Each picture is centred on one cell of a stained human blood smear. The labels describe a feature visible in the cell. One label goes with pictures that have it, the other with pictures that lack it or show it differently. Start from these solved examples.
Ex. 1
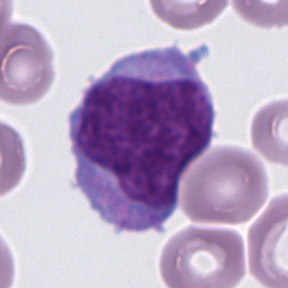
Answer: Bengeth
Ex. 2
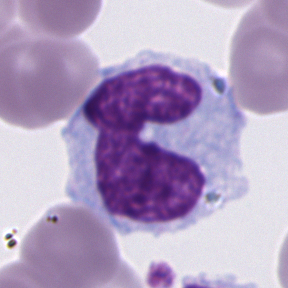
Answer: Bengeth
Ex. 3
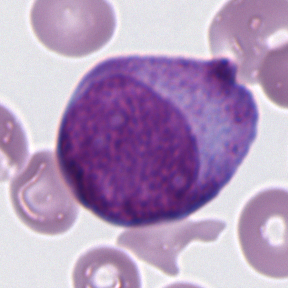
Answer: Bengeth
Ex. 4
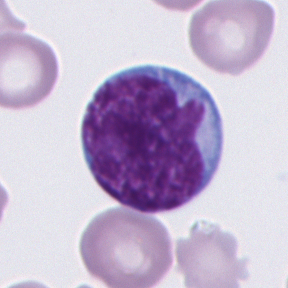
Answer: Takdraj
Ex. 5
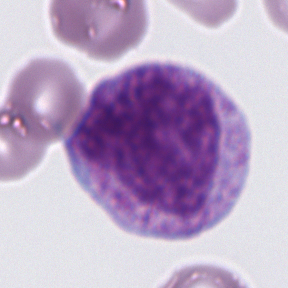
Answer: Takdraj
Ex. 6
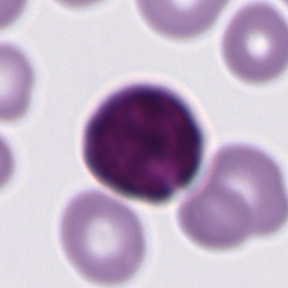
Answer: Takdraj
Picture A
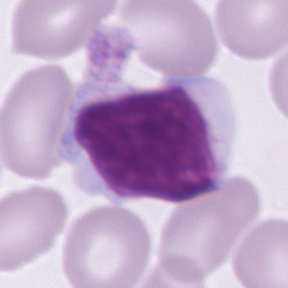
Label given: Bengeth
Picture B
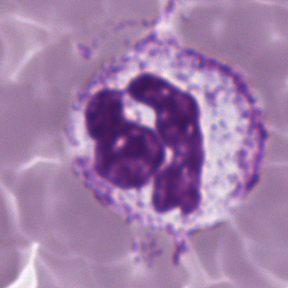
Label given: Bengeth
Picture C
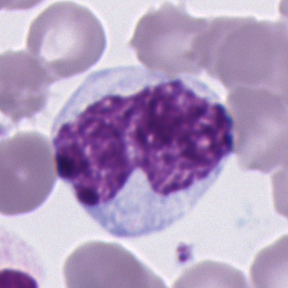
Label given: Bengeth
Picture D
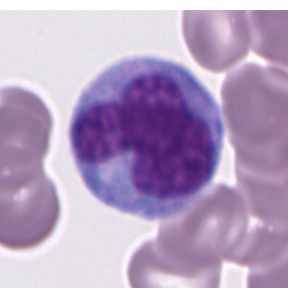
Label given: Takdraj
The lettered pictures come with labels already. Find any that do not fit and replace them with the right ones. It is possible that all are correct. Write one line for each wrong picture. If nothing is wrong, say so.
Wrong: C (Bengeth); correct: Takdraj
